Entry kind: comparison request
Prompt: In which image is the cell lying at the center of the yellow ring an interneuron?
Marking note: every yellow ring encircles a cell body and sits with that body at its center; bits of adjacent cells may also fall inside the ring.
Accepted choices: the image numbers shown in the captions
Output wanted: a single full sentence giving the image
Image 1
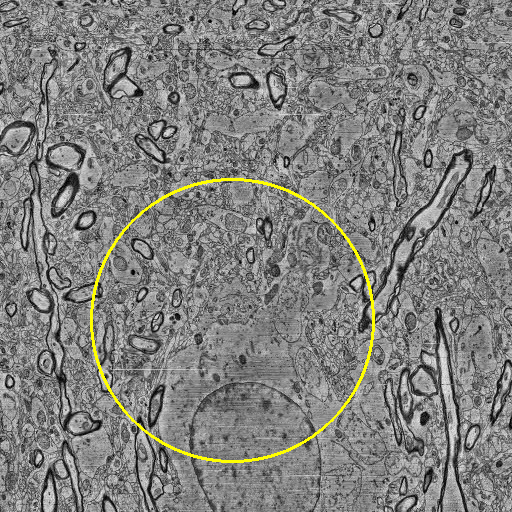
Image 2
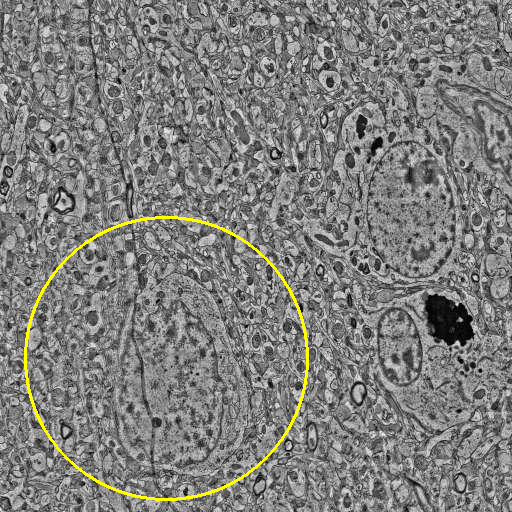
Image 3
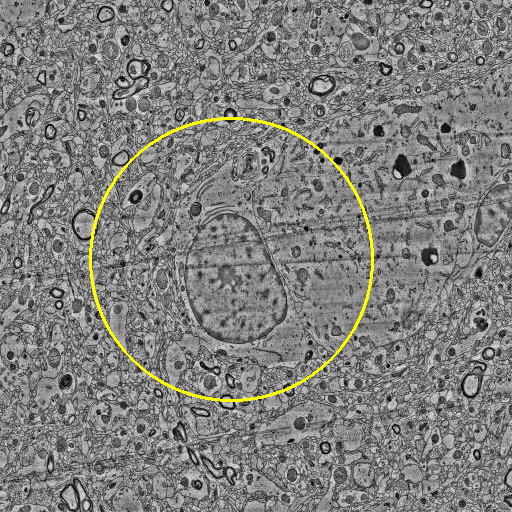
In image 2, the ringed cell at the center matches the prompt.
